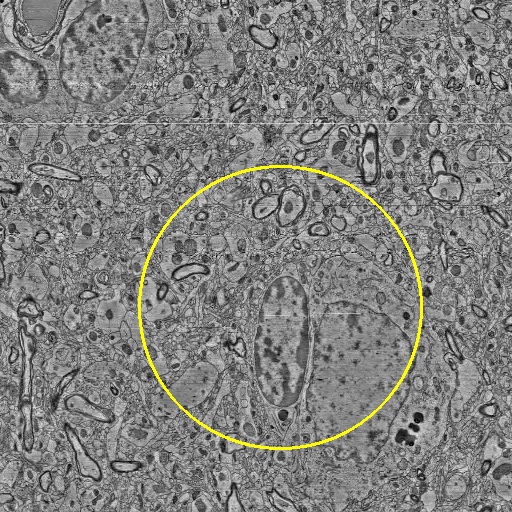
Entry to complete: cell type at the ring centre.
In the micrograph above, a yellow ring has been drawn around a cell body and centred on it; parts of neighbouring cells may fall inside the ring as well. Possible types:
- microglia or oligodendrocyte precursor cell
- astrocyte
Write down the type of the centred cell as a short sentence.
The ring is centred on a microglial cell or oligodendrocyte precursor cell.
